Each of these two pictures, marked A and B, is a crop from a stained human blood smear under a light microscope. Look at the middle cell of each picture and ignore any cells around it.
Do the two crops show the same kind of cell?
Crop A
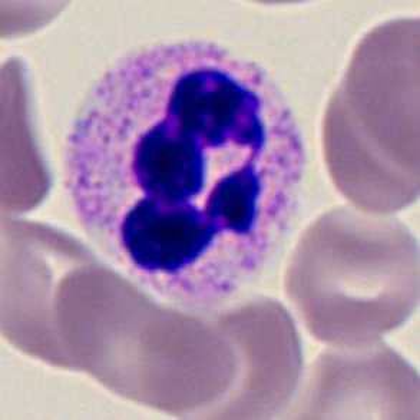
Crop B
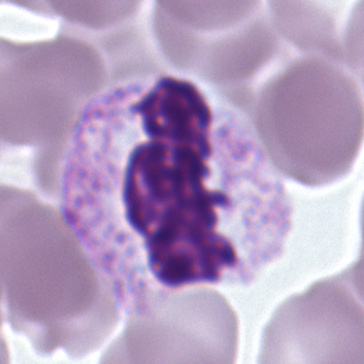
yes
